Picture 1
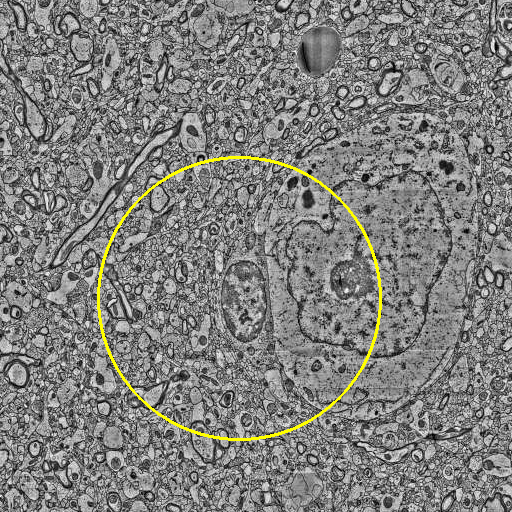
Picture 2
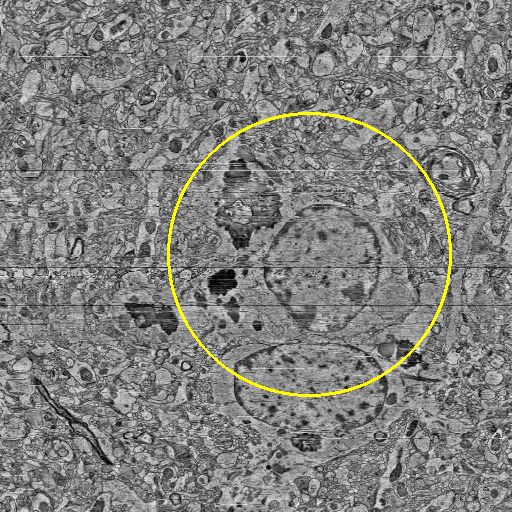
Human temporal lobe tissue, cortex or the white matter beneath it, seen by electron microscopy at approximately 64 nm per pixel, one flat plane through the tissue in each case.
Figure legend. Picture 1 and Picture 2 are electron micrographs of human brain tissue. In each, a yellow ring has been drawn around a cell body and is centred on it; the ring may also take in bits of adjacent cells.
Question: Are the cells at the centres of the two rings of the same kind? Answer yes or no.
no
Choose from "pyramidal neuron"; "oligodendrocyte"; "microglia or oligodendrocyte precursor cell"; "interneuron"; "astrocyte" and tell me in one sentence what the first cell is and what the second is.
What the first ring is centred on is an oligodendrocyte; what the second ring is centred on is an astrocyte.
